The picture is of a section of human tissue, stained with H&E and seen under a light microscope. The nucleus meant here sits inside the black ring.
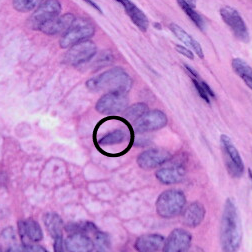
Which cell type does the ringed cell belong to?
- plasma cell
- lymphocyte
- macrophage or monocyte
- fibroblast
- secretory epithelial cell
secretory epithelial cell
